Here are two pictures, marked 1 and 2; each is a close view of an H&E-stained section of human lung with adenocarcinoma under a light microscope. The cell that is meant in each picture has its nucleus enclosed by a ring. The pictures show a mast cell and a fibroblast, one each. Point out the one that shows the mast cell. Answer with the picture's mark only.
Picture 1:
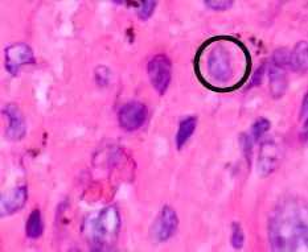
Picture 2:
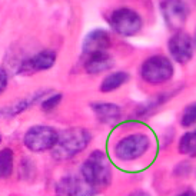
2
